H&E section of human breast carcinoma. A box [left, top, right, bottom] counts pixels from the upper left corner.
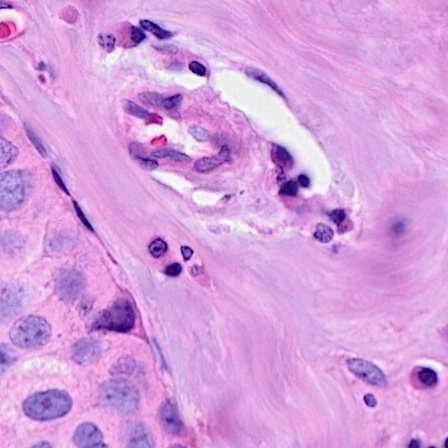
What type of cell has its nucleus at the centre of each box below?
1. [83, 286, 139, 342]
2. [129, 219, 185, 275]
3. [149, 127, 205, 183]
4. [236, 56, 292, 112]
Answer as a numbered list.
1. carcinoma cell
2. mast cell
3. endothelial cell
4. fibroblast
